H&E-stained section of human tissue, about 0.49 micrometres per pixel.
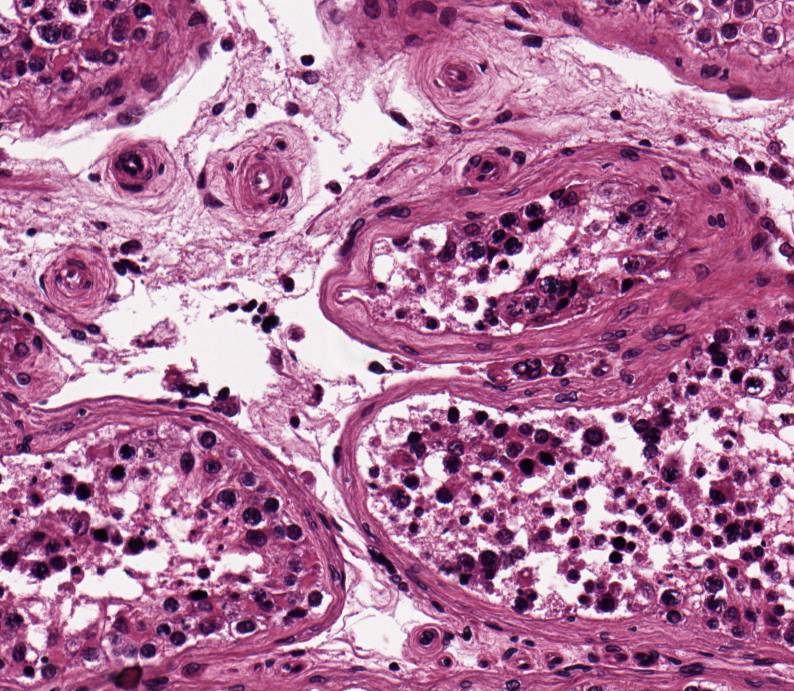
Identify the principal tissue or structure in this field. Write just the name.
seminiferous tubule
